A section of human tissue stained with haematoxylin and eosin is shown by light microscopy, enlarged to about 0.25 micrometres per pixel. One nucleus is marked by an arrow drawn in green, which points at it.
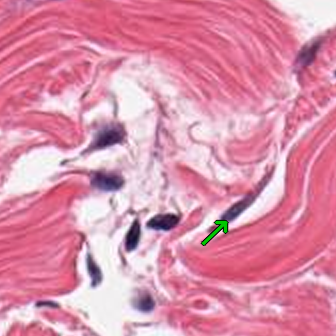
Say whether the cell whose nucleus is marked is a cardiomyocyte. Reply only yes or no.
no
